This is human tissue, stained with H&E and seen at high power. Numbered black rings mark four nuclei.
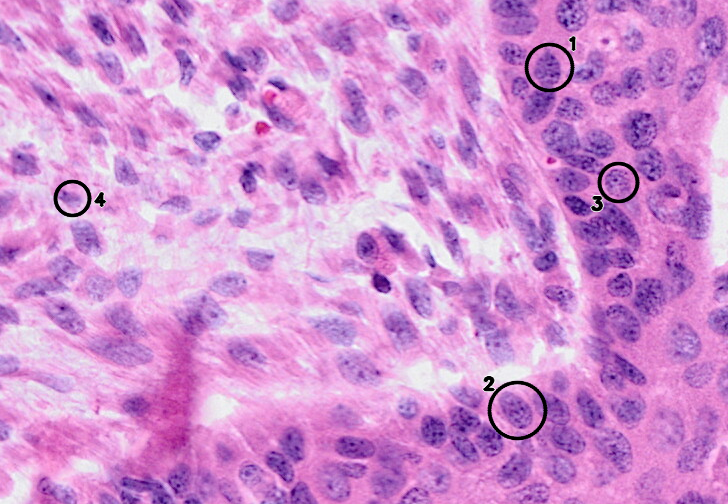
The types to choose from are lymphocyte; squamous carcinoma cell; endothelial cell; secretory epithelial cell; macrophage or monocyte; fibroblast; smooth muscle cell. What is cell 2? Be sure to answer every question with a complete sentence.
The nucleus with number 2 is that of a squamous carcinoma cell.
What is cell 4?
Recognised here as a fibroblast is the cell numbered 4.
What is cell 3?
The nucleus marked 3 is the nucleus of a squamous carcinoma cell.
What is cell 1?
In the tissue shown, cell 1 is a squamous carcinoma cell.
